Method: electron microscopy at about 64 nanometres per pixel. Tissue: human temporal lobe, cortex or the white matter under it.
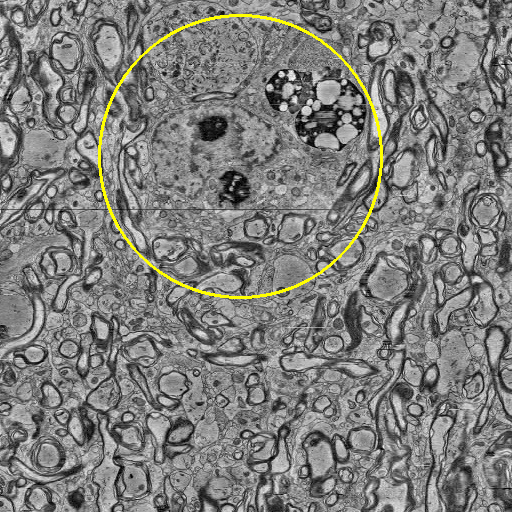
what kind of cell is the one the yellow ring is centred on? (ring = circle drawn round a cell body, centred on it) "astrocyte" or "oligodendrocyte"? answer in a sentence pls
The ring is drawn around an astrocyte.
